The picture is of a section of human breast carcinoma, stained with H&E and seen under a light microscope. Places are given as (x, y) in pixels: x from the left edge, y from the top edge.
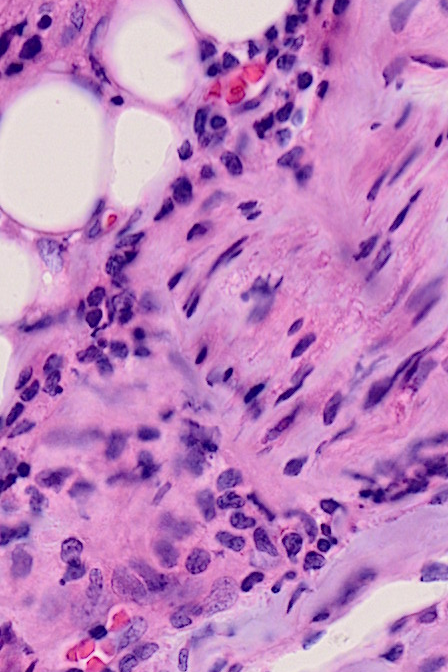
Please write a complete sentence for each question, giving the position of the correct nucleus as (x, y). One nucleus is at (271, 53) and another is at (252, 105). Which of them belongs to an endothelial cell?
The nucleus at (252, 105) is attributed to an endothelial cell, unlike the other nucleus.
